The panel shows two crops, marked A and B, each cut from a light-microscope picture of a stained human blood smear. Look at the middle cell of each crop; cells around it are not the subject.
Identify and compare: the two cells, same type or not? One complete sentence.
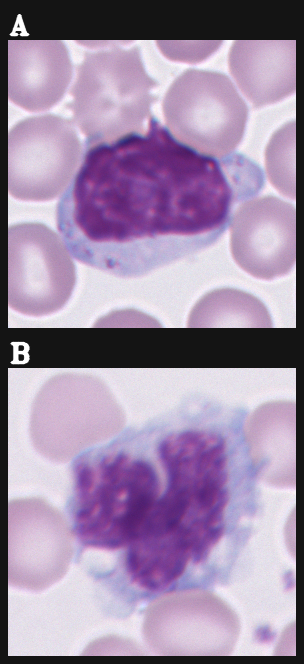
No, crop A carries a large granular lymphocyte and crop B carries a monocyte.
